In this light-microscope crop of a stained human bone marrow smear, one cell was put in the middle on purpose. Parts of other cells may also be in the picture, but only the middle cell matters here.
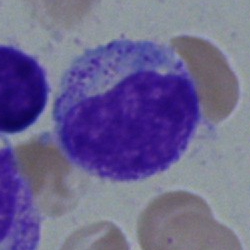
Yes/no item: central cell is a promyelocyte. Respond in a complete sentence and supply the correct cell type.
No, the cell under consideration is a myelocyte instead of a promyelocyte.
